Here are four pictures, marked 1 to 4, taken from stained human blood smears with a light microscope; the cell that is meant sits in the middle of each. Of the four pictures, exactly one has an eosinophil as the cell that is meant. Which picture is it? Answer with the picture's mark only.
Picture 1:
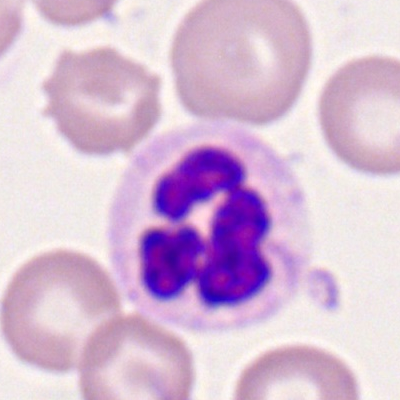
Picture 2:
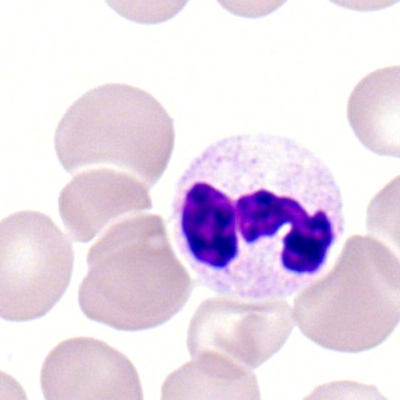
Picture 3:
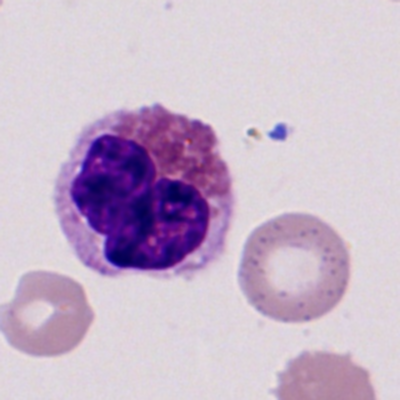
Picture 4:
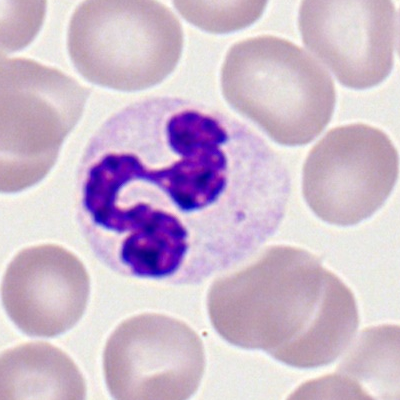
3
